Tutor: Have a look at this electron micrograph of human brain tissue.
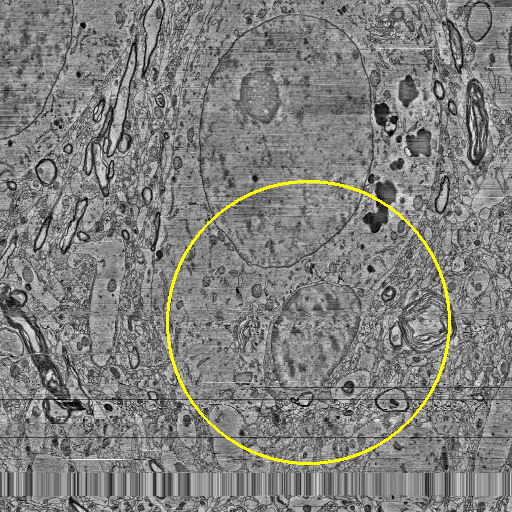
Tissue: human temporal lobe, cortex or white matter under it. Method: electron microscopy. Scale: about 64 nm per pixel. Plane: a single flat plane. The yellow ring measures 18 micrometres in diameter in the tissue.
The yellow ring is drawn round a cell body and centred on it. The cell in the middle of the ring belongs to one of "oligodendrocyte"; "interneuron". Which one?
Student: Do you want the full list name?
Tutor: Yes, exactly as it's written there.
oligodendrocyte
